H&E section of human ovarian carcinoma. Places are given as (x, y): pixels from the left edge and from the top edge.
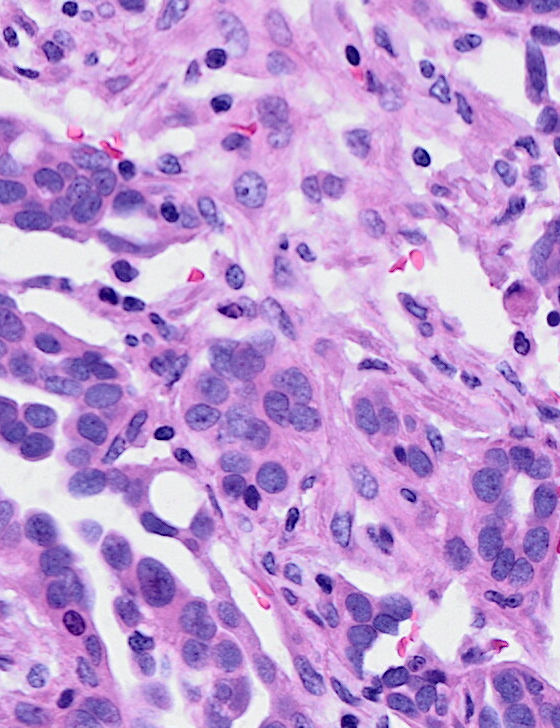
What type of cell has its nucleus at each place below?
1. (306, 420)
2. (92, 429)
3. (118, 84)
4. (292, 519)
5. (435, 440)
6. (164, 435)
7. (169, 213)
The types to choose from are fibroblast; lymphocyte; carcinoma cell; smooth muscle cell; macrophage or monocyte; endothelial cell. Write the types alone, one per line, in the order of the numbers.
carcinoma cell
carcinoma cell
fibroblast
lymphocyte
fibroblast
lymphocyte
lymphocyte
